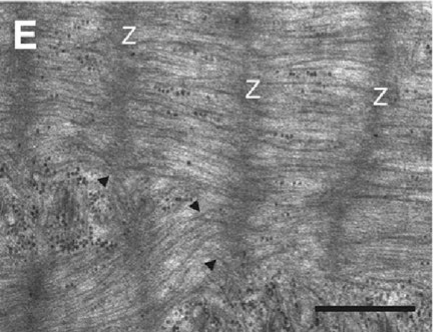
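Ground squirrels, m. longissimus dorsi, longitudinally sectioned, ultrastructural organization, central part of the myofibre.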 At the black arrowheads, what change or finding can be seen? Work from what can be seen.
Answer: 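Filaments near the arrowheads run obliquely and curve instead of lying parallel. Filament bundles bend and diverge across the dark transverse bands.
Disordering of myofilament directions.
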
